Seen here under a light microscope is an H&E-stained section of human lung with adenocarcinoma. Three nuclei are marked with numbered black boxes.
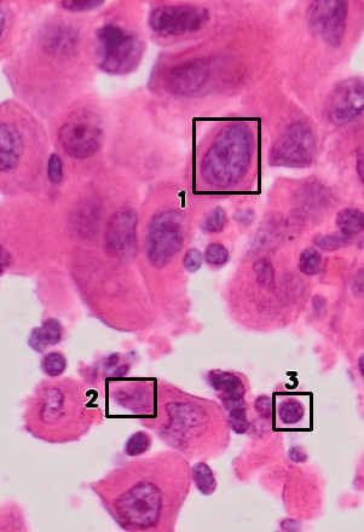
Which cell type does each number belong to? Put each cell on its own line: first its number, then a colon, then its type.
1: carcinoma cell
2: carcinoma cell
3: lymphocyte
